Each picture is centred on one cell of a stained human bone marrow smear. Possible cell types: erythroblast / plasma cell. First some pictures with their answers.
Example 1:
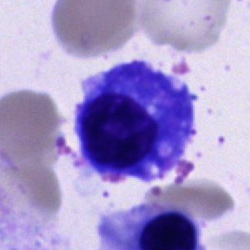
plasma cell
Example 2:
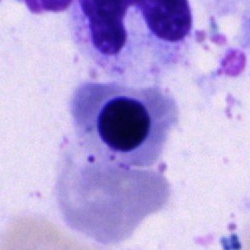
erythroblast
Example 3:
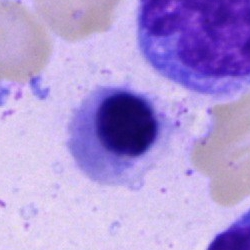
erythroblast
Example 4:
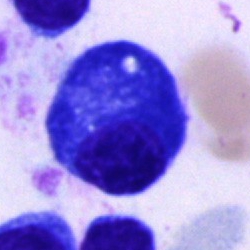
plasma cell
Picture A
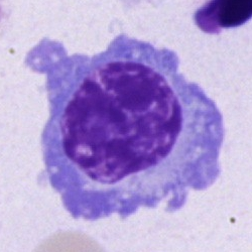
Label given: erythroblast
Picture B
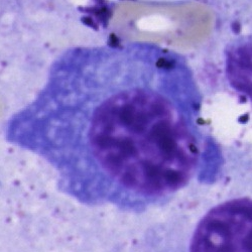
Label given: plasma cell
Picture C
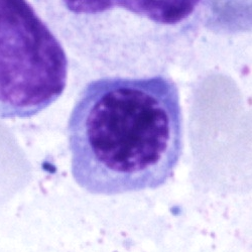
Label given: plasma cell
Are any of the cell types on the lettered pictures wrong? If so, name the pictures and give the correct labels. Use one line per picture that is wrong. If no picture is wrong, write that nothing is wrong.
A: plasma cell, not erythroblast
C: erythroblast, not plasma cell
